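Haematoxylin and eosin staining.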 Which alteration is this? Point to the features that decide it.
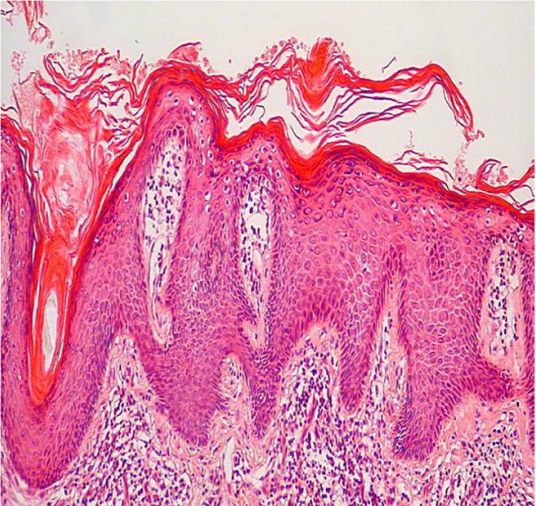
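Follicular plugging. At the left, a deep funnel-shaped invagination of the epidermis is filled with bright red keratin. The keratin mass in the invagination is continuous with the surface cornified layer.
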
